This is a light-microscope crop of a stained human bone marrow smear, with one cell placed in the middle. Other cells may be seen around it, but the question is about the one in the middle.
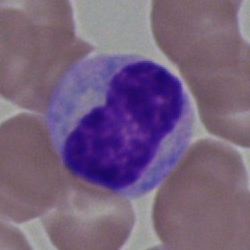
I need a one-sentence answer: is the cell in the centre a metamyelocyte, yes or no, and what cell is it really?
Yes, within this crop, the central cell is a metamyelocyte.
